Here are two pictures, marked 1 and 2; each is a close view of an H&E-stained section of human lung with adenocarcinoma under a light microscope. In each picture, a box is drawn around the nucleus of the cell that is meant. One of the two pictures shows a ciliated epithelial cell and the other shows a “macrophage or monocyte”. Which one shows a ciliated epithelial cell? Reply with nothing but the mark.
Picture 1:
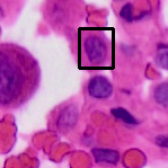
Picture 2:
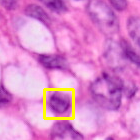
2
